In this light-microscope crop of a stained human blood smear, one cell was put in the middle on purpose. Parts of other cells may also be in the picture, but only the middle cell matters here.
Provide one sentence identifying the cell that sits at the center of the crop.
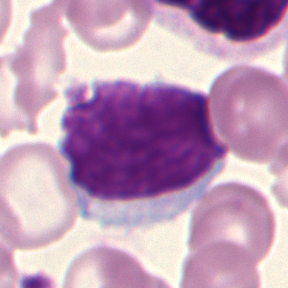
The cell sitting right in the middle is a lymphocyte.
